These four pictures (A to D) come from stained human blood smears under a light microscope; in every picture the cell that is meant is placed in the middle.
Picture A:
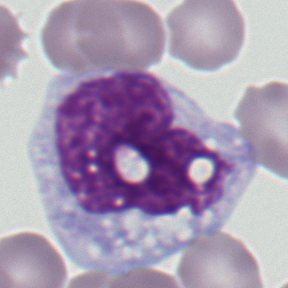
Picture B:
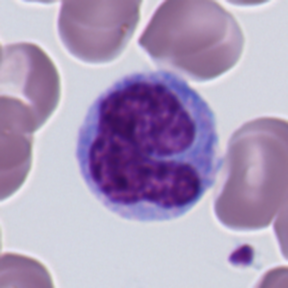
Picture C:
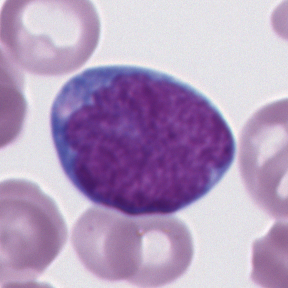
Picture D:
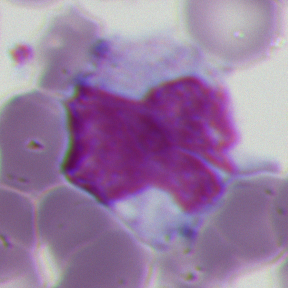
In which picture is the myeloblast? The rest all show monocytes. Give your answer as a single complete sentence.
Picture C is the one that shows the myeloblast.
